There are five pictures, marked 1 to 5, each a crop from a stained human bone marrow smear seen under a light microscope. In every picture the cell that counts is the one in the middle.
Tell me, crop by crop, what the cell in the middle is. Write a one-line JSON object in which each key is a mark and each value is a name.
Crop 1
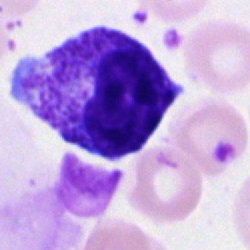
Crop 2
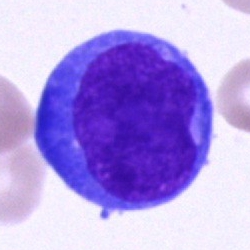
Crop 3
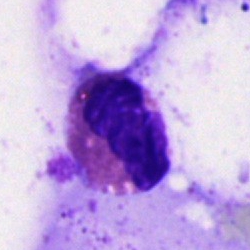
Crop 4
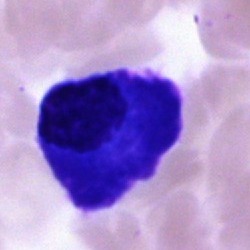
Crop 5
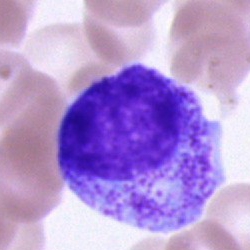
{"1": "metamyelocyte", "2": "blast", "3": "eosinophil", "4": "plasma cell", "5": "myelocyte"}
